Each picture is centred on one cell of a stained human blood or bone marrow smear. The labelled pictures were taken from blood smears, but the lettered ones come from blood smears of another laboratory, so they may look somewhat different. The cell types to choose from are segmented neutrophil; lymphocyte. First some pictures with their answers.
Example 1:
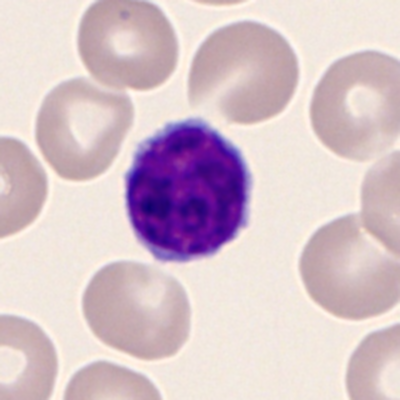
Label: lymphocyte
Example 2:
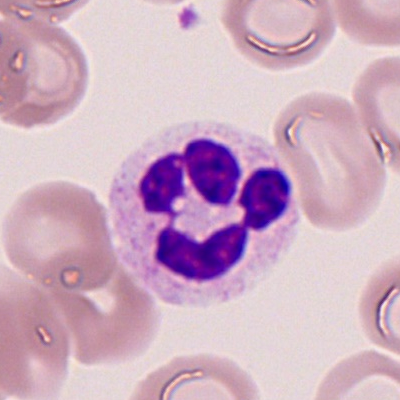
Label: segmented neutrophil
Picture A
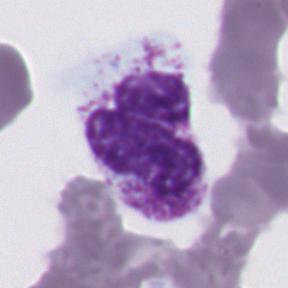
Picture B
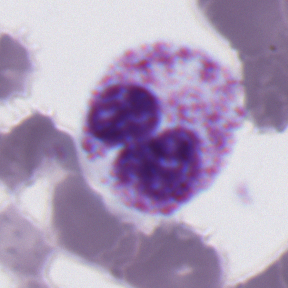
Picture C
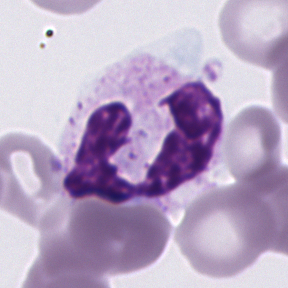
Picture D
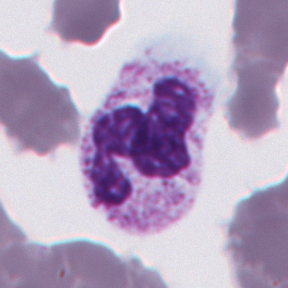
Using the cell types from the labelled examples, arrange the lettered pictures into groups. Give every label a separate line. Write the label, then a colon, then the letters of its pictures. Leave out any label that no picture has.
segmented neutrophil: A, B, C, D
